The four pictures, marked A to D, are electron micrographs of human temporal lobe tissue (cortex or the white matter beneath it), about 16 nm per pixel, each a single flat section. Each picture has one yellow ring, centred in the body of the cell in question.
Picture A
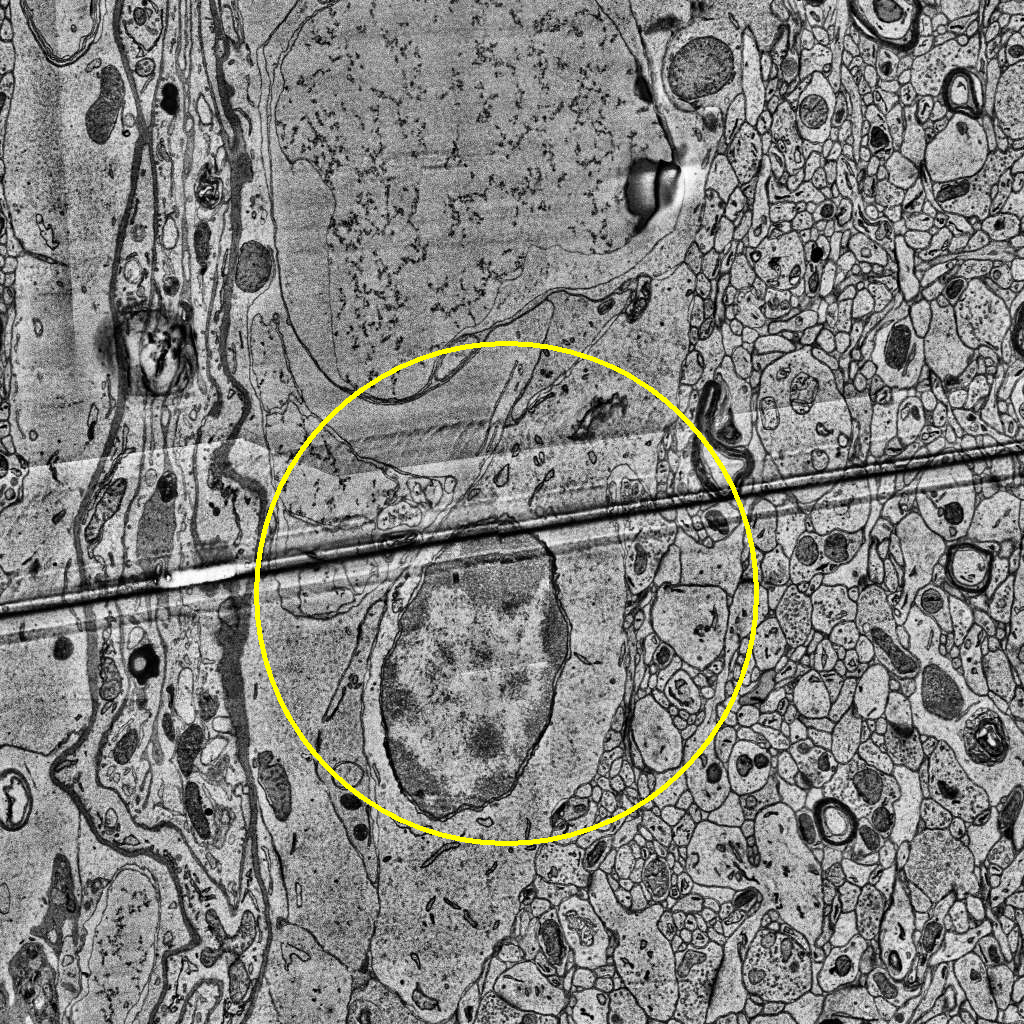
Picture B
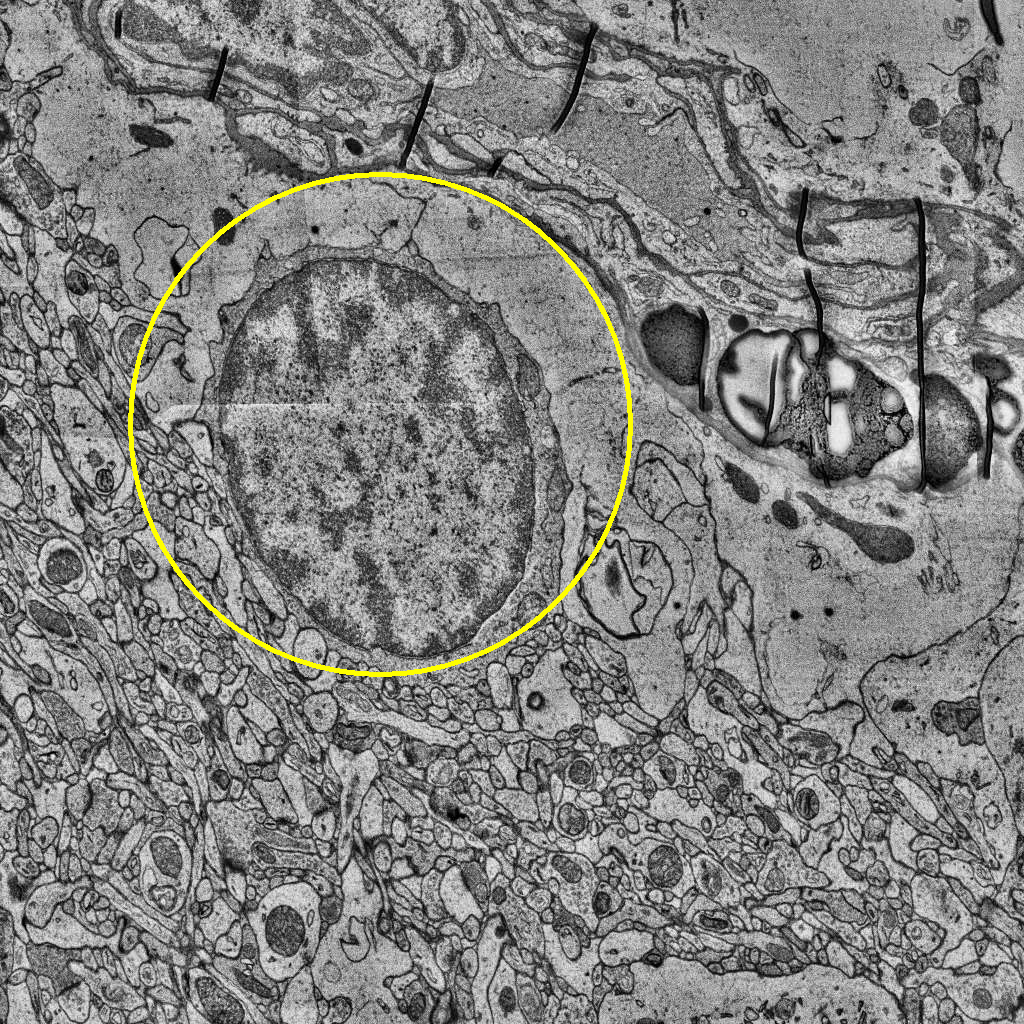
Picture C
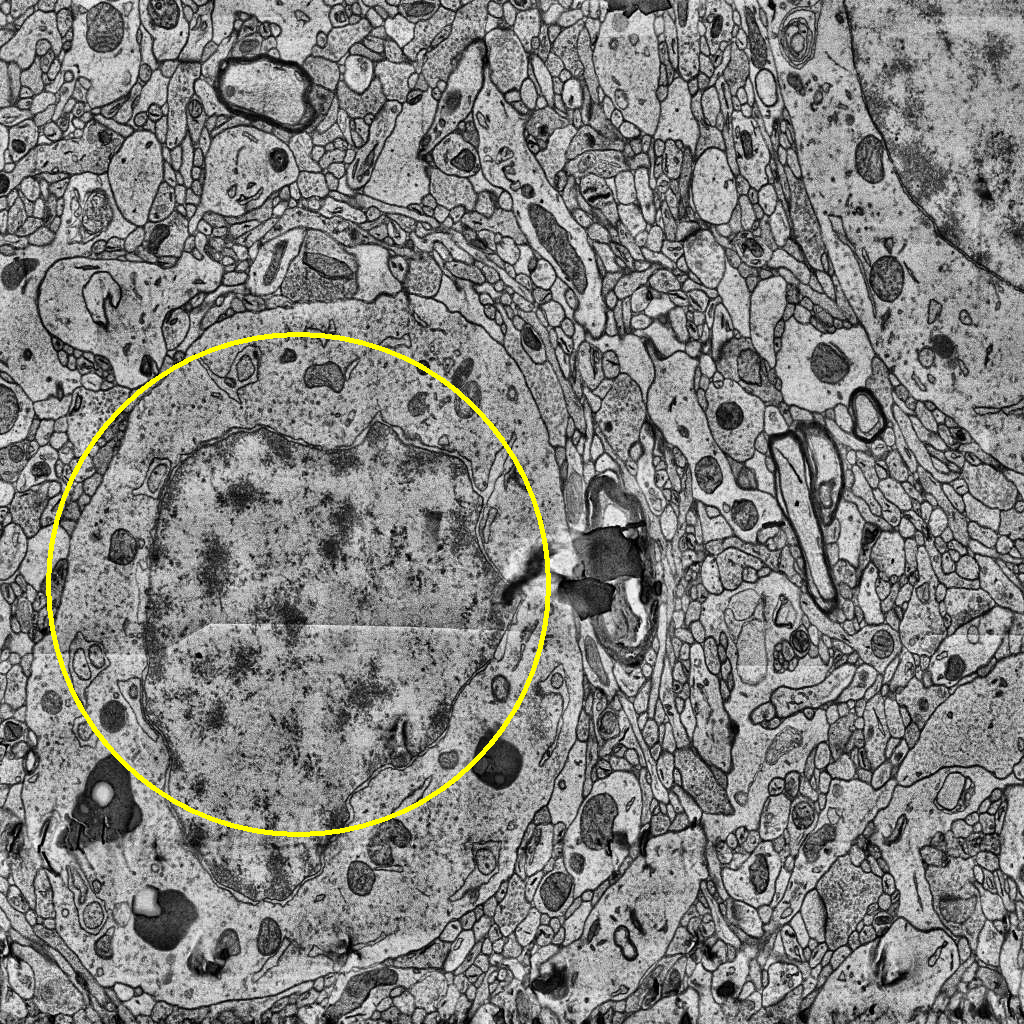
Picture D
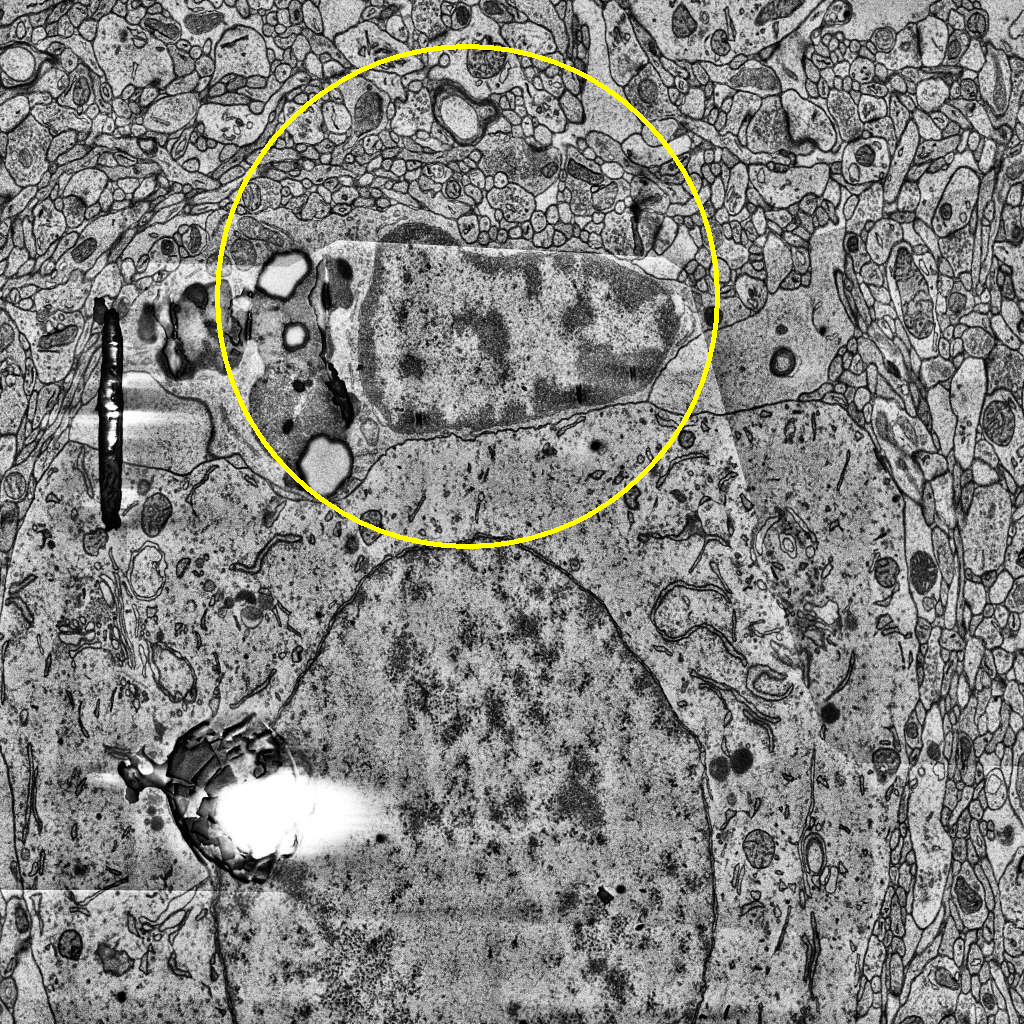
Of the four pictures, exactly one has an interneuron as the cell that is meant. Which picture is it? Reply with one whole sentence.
Picture C shows the interneuron.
